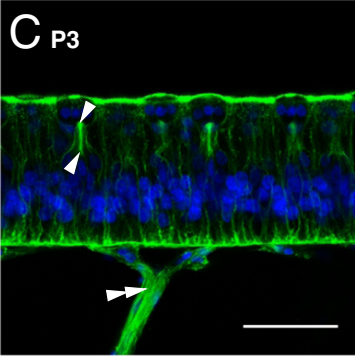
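A thin sheet of retina is seen with a bright green line on top and another at the base, and short green rods hanging down from the upper surface between blue nuclei. Most blue nuclei are crowded together at one level in the lower part of the sheet, with a few lying near the top. Below the basal green line a fibrous, twisted green bundle leaves the layer.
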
